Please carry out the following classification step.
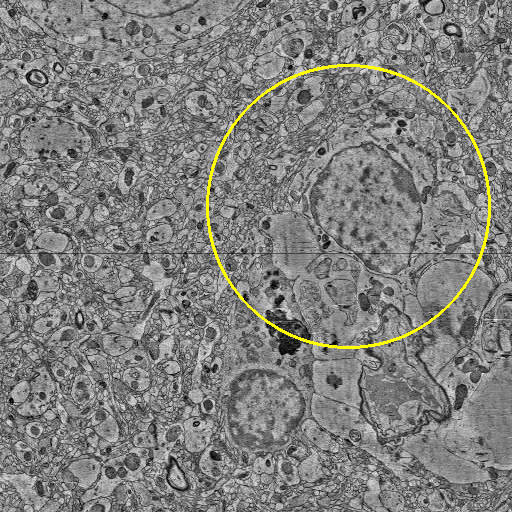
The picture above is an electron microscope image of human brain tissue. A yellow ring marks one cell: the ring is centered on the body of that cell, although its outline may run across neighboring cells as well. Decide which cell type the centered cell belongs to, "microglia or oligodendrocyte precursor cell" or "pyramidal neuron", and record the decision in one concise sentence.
The cell centered in the yellow ring is a microglial cell or oligodendrocyte precursor cell.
